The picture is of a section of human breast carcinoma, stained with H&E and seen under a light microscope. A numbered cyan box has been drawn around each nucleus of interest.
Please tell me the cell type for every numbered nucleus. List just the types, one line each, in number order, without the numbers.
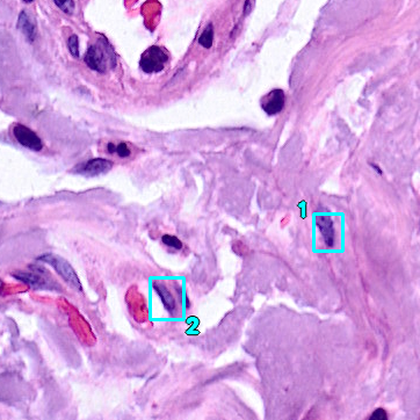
fibroblast
endothelial cell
